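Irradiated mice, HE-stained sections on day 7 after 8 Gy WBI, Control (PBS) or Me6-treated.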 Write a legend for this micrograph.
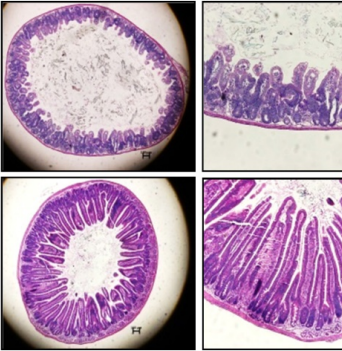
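Finger-like villi project inward from the mucosa, and crypts lie at their bases next to the wall. In the upper sections the villi are short, blunted and stubby, with dense purple nuclei crowded near the base. In the lower sections the villi are long, slender and closely packed, reaching far into the lumen, each covered by a single row of epithelial cells with purple nuclei and a pink core.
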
